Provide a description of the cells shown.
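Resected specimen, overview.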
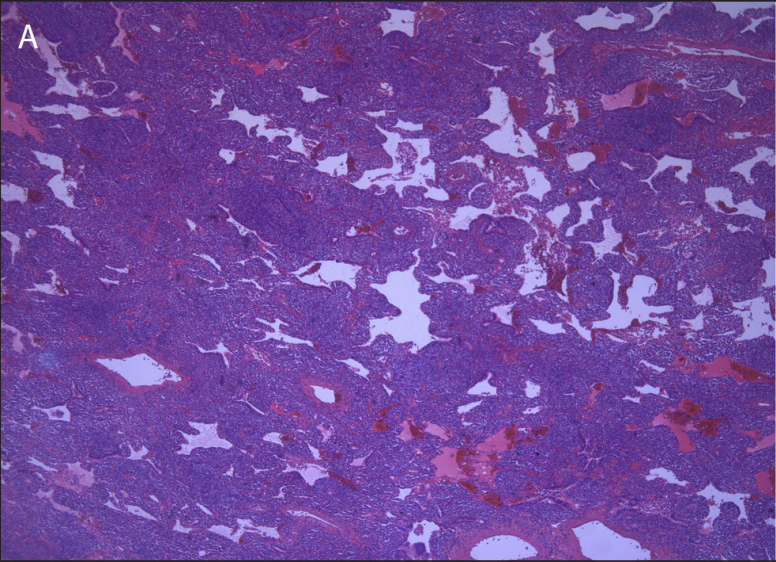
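At low power the tissue is densely cellular and purple, made up of broad, thickened bands that separate only small, irregular clear spaces. Scattered pink-red areas of blood and protein-rich material lie within some of these spaces. The normal open lacy pattern is largely lost, the architecture packed and condensed. These are diffusely strongly widened septa infiltrated by lymphoid cells.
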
